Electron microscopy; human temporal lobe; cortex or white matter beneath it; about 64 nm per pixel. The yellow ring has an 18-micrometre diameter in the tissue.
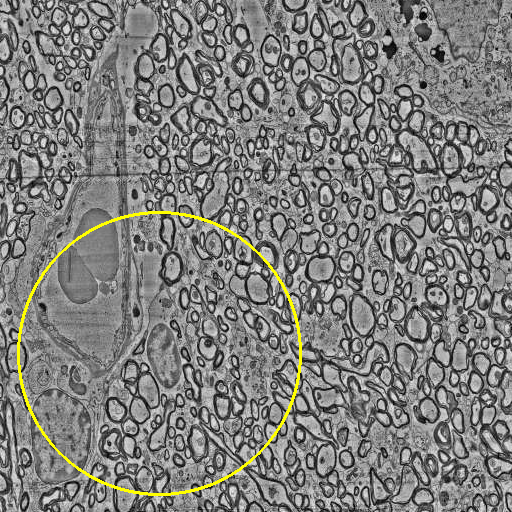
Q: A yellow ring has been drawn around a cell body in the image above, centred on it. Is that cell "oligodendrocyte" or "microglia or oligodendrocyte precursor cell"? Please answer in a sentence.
The ring surrounds the cell body of a microglial cell or oligodendrocyte precursor cell.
